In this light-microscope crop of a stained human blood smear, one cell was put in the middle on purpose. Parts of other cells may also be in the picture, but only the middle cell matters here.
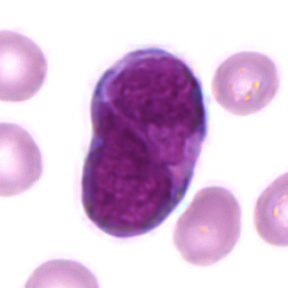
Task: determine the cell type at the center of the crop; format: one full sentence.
The single cell at the center of the crop is an atypical promyelocyte.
